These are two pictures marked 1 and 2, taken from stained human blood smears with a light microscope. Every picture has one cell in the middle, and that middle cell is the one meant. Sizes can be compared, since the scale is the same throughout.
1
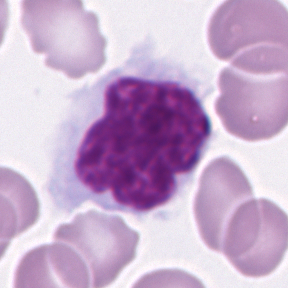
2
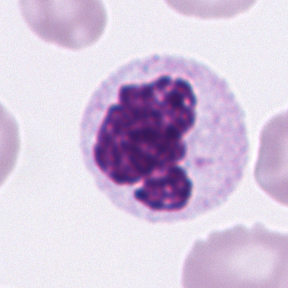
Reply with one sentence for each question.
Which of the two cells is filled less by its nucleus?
Of the two, the nucleus in picture 2 leaves more room for cytoplasm.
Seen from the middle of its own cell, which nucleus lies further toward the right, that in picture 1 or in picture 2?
It is the nucleus in picture 1 that lies further toward the right of its cell.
